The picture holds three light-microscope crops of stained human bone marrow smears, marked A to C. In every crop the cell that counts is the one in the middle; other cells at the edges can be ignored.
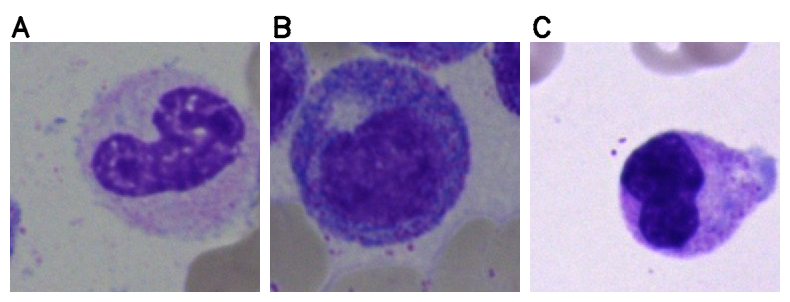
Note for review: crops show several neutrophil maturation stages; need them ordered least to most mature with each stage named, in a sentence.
By increasing maturity, the cells should be ordered crop B (a promyelocyte), crop C (a metamyelocyte) and crop A (a band neutrophil).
